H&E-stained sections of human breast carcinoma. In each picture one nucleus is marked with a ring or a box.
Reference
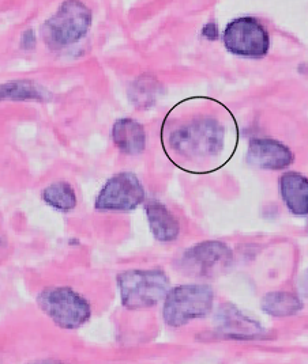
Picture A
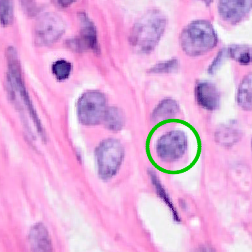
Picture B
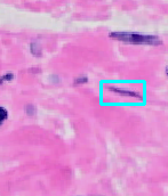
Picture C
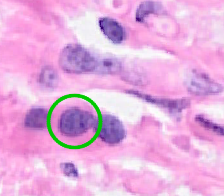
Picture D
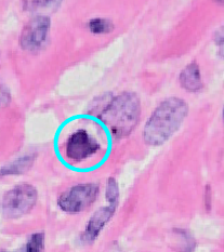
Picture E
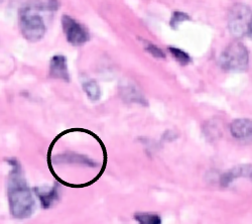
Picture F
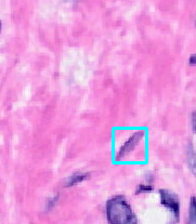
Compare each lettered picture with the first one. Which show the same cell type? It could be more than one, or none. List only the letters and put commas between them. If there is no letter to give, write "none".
A, C, D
